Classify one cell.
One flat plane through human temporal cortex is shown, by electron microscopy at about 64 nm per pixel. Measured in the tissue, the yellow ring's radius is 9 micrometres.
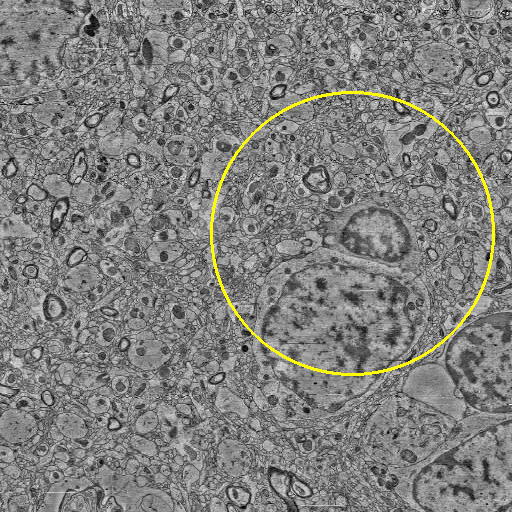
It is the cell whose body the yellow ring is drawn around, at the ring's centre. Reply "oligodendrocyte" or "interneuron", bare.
oligodendrocyte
